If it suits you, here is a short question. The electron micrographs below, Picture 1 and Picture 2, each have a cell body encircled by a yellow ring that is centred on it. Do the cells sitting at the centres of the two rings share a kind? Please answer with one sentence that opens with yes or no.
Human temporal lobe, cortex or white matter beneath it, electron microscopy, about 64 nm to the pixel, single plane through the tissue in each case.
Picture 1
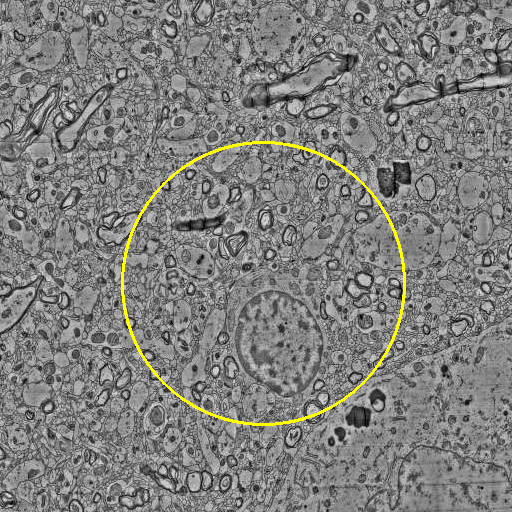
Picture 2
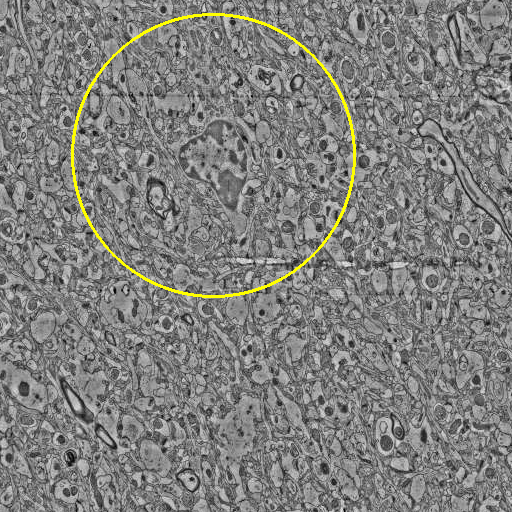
No, the two cells sitting at the ring centres fall into two kinds.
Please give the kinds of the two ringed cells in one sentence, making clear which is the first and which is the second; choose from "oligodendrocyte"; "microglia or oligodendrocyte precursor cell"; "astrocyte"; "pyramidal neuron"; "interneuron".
In the second picture the ringed cell is a microglial cell or oligodendrocyte precursor cell; in the first it is an oligodendrocyte.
